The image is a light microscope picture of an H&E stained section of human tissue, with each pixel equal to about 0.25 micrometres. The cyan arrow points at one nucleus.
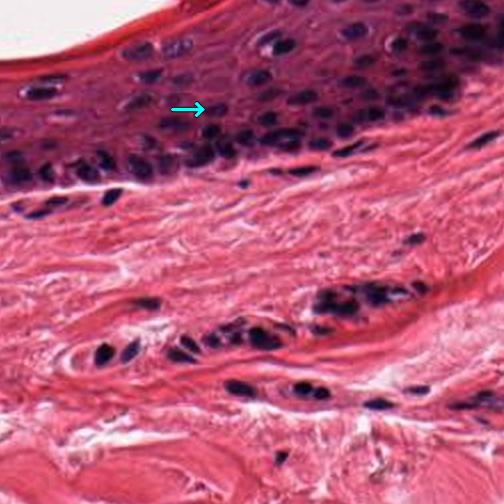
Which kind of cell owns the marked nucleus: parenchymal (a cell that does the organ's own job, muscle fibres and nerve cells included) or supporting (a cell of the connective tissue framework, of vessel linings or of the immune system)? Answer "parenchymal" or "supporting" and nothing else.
parenchymal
